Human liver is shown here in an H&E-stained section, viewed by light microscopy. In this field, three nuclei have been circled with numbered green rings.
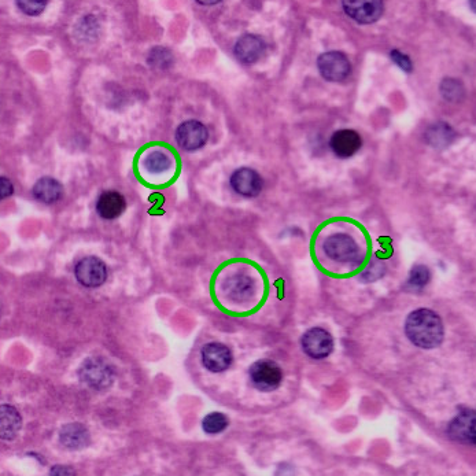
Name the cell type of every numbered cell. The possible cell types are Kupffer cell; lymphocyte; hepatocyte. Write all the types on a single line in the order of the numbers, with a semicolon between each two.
hepatocyte; lymphocyte; hepatocyte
